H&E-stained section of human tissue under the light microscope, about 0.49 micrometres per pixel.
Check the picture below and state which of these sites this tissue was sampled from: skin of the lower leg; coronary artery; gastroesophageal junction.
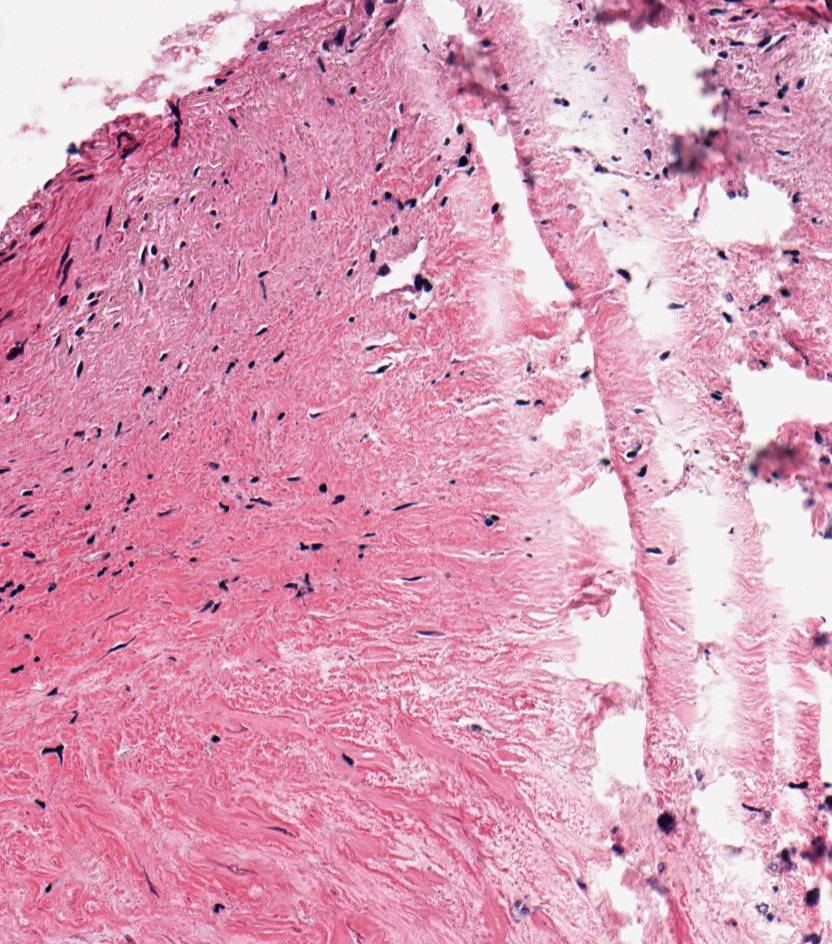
coronary artery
